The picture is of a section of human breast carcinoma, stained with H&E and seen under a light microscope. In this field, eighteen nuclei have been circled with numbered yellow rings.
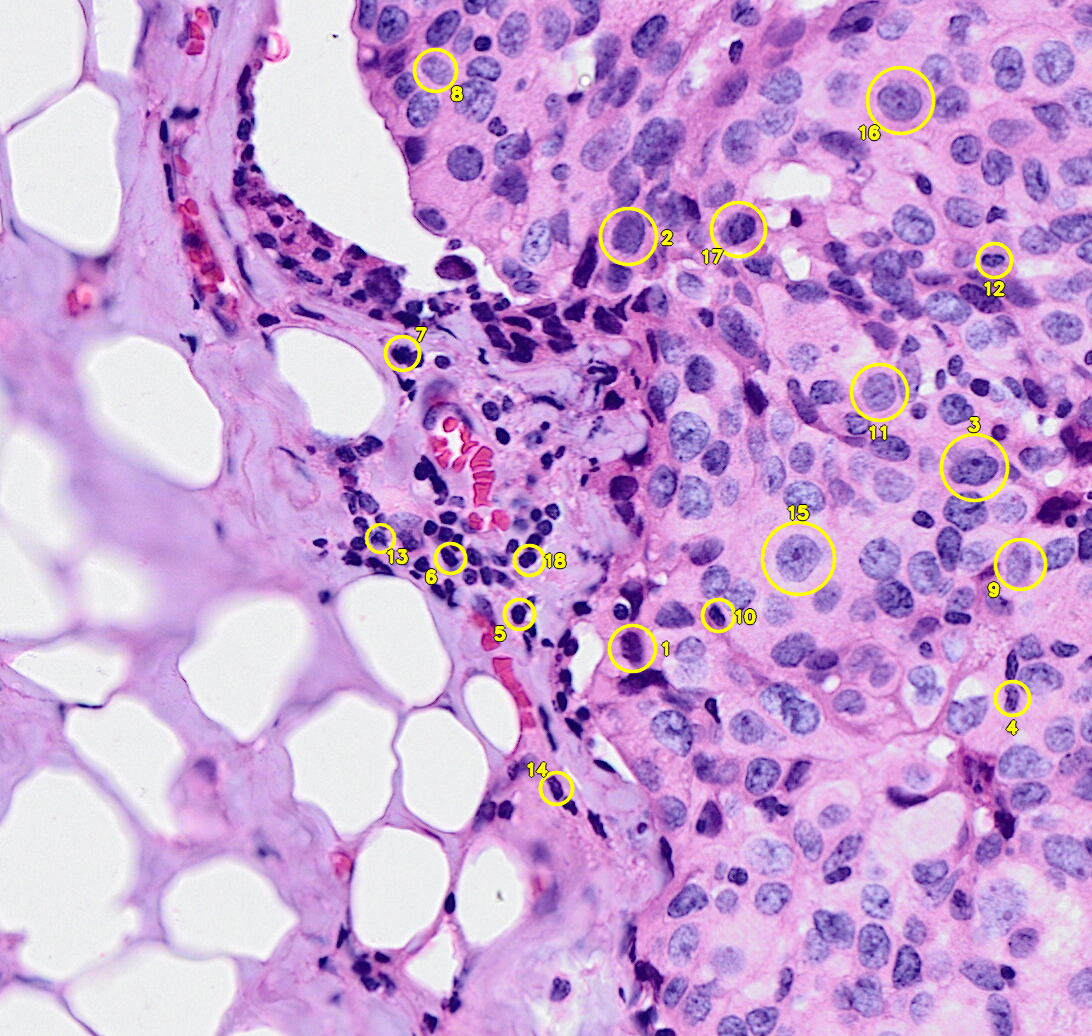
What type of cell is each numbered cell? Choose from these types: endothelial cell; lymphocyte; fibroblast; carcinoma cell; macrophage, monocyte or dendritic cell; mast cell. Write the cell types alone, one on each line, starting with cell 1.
carcinoma cell
carcinoma cell
carcinoma cell
lymphocyte
lymphocyte
lymphocyte
lymphocyte
carcinoma cell
carcinoma cell
lymphocyte
carcinoma cell
lymphocyte
lymphocyte
lymphocyte
carcinoma cell
carcinoma cell
carcinoma cell
lymphocyte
